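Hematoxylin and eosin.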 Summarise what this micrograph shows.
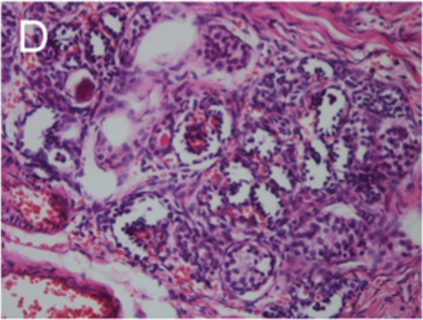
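This lesion shows undifferentiated blastemal tissue with abortive glomeruli and dysplastic tubules. Round spaces hold small cell tufts, tubules are lined by crowded cuboidal cells around open lumens, and sheets of small dark cells lie between them. Blood vessels filled with red cells run along the lower edge.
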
